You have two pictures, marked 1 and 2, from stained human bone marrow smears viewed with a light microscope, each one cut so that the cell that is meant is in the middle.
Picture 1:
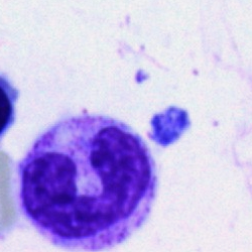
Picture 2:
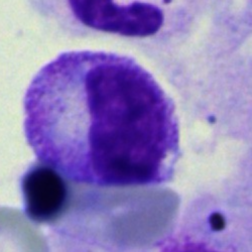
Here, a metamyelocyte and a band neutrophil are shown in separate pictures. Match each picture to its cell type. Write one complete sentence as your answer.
Picture 1 is of a band neutrophil, and picture 2 is of a metamyelocyte.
